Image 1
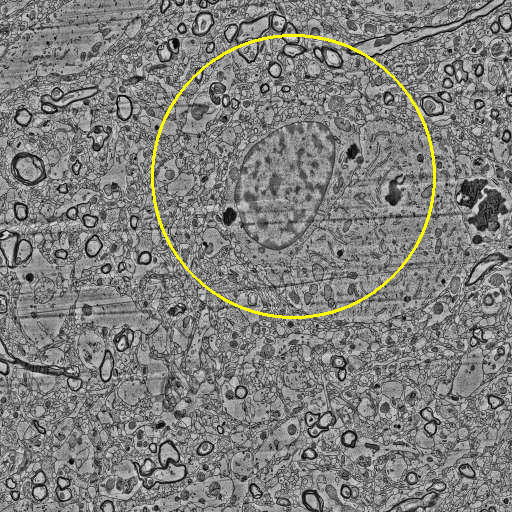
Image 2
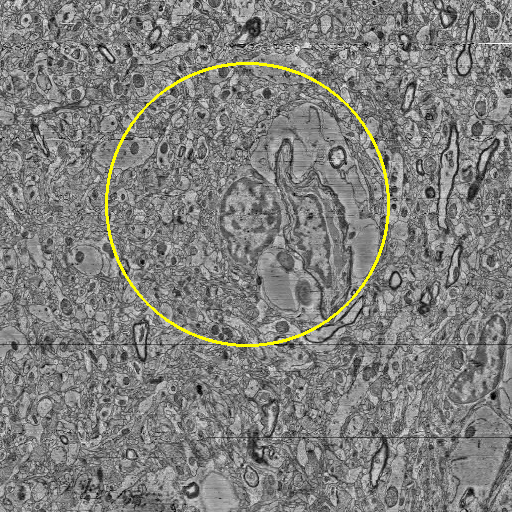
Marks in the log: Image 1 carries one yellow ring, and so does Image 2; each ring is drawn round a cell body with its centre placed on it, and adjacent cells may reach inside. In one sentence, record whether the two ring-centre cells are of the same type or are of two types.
The two cells at the ring centres, one in each image, are of the same type.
